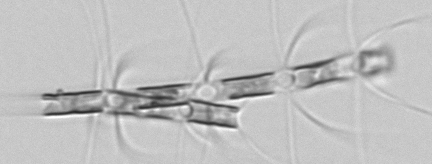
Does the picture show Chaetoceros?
Yes.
